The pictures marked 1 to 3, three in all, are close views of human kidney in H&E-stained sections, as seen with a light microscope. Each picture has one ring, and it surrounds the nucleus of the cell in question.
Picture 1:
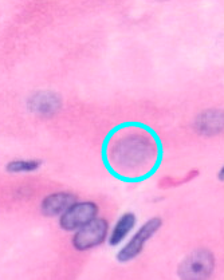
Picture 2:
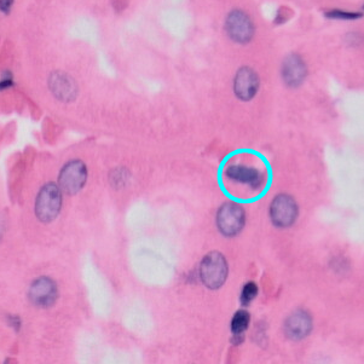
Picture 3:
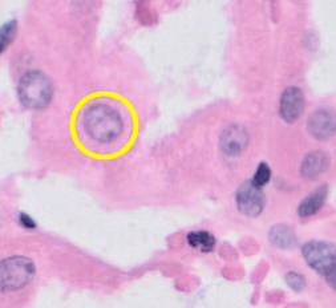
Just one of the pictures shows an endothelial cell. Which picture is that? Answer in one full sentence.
The cell in picture 2 is the endothelial cell.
